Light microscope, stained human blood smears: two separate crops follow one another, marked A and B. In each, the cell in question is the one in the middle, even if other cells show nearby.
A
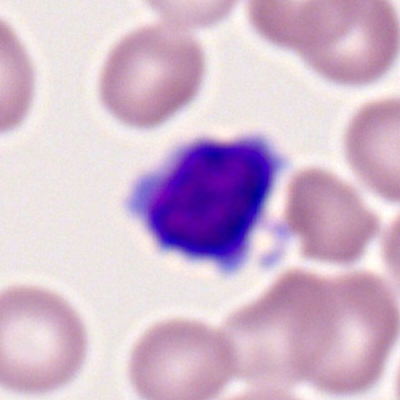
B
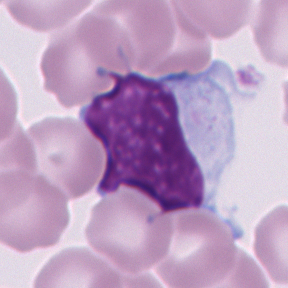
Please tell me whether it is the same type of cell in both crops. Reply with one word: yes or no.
yes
